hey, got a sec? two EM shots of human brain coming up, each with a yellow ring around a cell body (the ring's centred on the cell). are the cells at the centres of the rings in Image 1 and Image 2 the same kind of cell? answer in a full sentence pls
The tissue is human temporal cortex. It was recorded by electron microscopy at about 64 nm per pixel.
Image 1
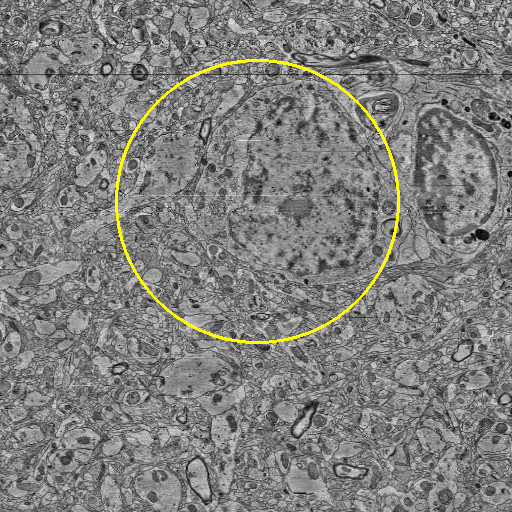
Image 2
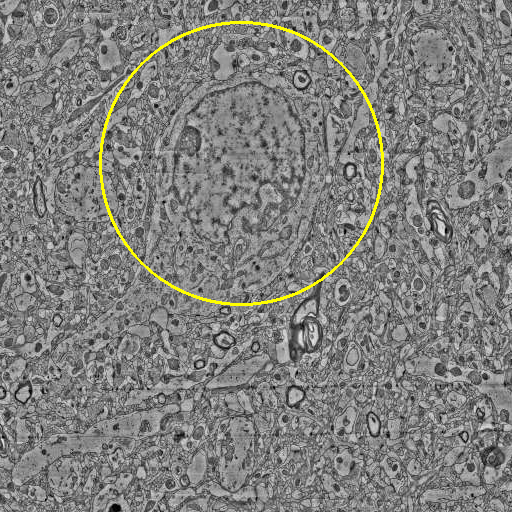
Yes, both are the same kind of cell.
